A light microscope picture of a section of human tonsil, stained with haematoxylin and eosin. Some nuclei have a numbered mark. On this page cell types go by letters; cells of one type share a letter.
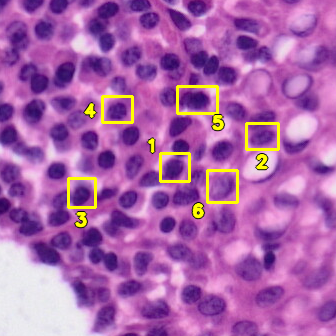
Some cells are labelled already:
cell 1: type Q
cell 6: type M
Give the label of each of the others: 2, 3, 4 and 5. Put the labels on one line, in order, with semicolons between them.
type M; type Q; type Q; type M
